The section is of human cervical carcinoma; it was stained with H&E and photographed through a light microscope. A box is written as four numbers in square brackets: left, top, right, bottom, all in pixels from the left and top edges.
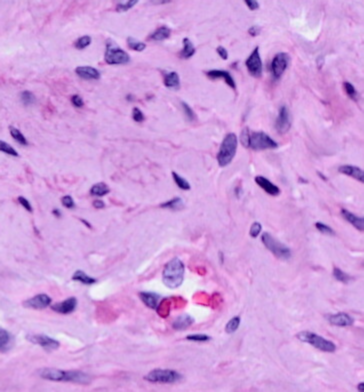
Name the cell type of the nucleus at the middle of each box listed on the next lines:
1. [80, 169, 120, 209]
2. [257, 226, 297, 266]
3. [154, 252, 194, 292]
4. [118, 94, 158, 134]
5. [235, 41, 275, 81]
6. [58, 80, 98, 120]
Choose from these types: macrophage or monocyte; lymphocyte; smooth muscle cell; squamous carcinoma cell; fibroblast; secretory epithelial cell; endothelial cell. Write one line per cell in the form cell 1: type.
cell 1: smooth muscle cell
cell 2: fibroblast
cell 3: endothelial cell
cell 4: fibroblast
cell 5: fibroblast
cell 6: smooth muscle cell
